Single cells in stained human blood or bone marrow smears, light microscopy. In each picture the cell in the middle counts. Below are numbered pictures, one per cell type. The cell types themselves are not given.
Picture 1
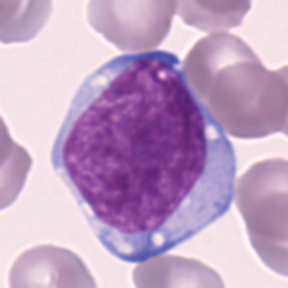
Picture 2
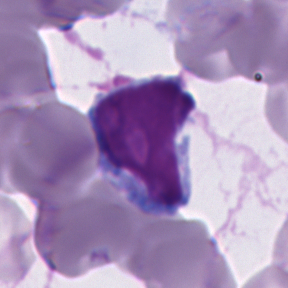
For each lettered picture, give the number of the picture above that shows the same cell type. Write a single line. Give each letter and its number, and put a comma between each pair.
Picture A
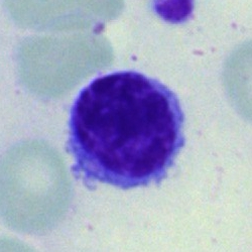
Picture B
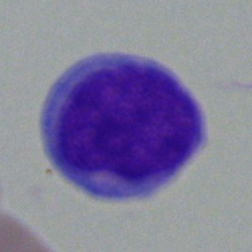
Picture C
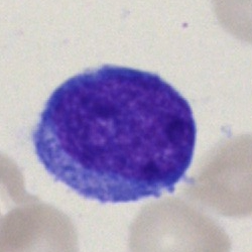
A 2, B 1, C 1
